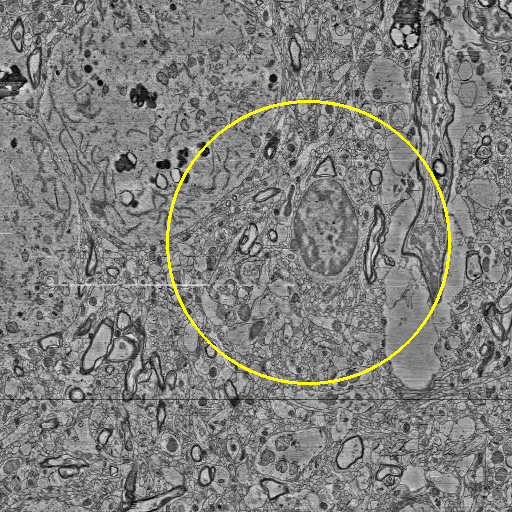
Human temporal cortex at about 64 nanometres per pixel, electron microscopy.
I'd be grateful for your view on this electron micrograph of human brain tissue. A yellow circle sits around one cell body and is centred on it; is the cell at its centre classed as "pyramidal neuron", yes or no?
no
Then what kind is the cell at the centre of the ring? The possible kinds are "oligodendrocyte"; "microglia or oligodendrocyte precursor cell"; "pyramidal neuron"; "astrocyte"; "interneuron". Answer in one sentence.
It is an oligodendrocyte at the centre of the ring.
